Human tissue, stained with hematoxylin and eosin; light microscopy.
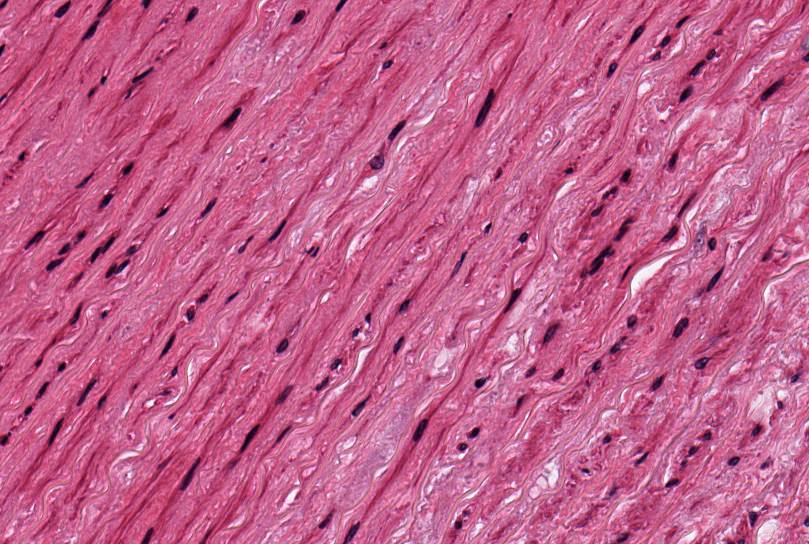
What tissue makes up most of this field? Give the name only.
tunica media of an artery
